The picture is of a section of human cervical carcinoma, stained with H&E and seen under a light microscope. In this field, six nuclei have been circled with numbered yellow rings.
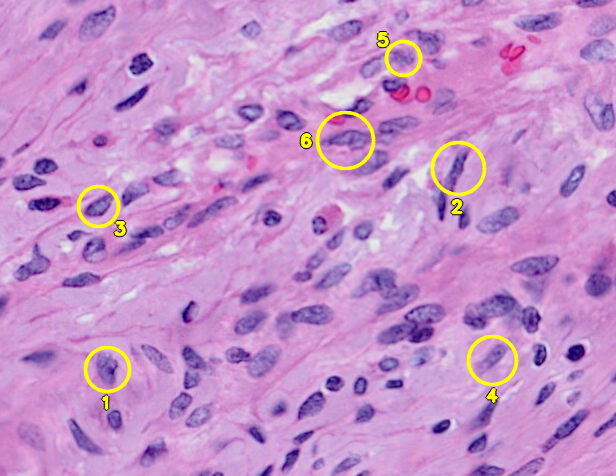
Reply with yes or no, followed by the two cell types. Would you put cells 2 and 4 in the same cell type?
Yes, by their numbers, cells 2 and 4 are both fibroblasts.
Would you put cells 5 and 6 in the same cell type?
Yes, the two numbered cells 5 and 6 are both endothelial cells.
